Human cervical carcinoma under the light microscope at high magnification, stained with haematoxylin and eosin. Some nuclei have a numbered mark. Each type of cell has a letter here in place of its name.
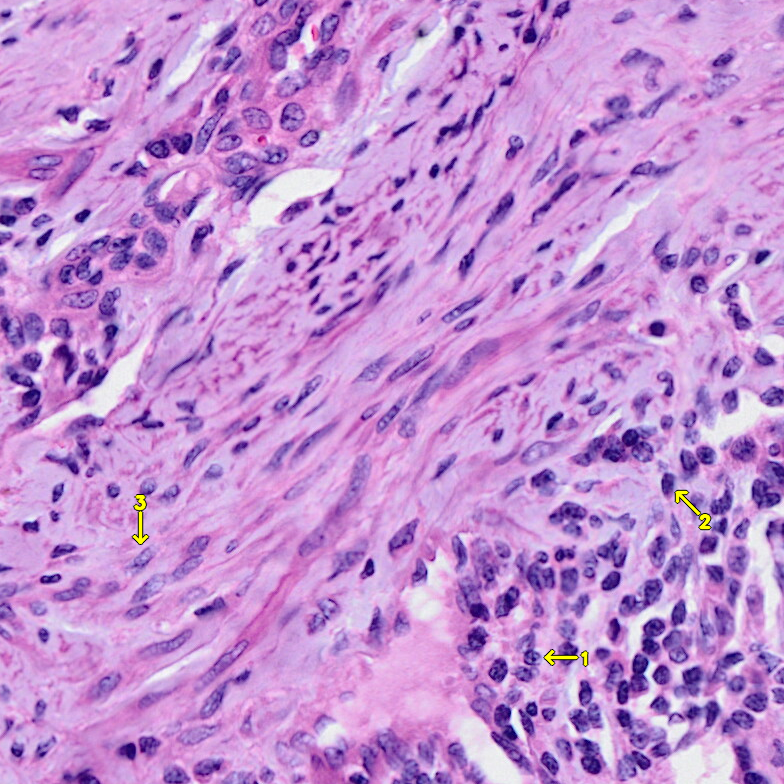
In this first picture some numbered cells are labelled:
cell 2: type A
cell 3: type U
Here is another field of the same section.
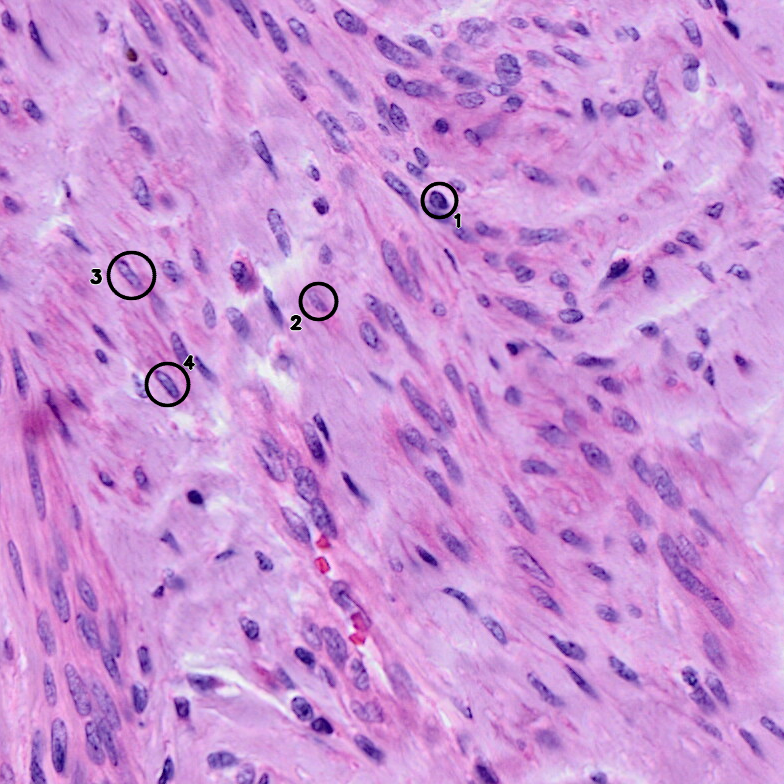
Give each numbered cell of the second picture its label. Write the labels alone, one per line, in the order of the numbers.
type A
type U
type U
type U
